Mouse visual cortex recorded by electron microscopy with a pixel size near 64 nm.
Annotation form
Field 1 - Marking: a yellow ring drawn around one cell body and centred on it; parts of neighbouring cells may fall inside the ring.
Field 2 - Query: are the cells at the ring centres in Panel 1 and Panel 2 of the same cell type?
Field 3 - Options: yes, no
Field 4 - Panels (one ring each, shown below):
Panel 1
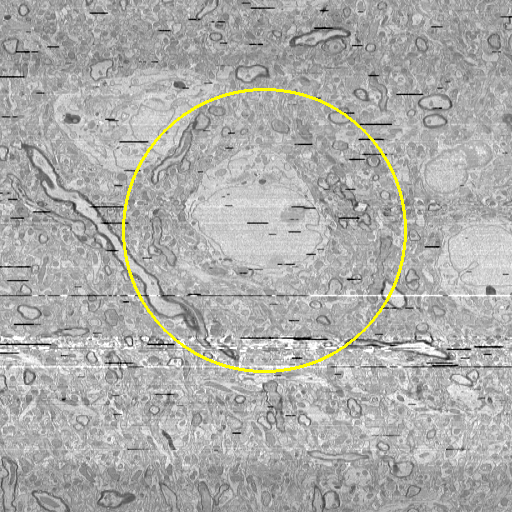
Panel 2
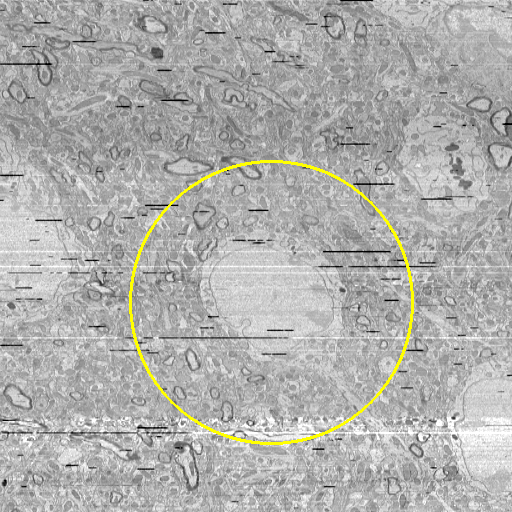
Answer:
yes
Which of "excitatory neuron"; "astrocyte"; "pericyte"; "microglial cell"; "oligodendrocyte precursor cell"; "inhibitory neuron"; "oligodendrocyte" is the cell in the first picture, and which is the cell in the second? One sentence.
Both rings mark an excitatory neuron, one in each picture.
